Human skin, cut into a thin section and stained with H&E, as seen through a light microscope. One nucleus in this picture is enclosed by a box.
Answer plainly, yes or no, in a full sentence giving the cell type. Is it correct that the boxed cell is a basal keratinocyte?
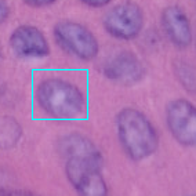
No, sorry, but the boxed cell is a suprabasal keratinocyte and not a basal keratinocyte.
